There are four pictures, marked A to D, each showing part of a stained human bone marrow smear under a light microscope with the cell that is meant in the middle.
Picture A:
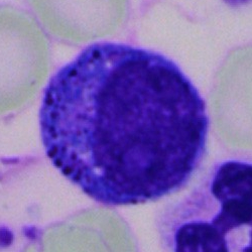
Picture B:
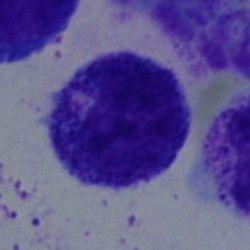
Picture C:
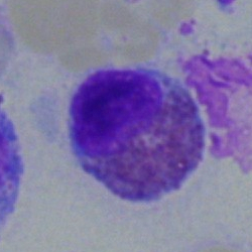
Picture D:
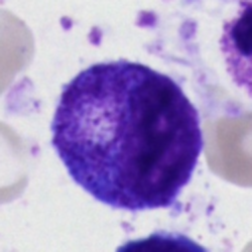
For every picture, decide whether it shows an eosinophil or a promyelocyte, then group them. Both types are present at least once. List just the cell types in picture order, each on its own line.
promyelocyte
promyelocyte
eosinophil
promyelocyte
